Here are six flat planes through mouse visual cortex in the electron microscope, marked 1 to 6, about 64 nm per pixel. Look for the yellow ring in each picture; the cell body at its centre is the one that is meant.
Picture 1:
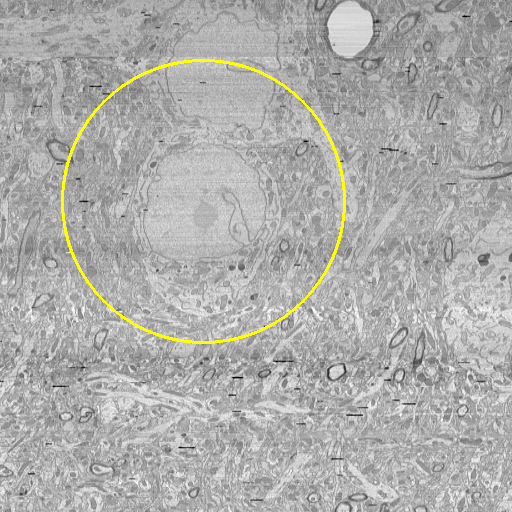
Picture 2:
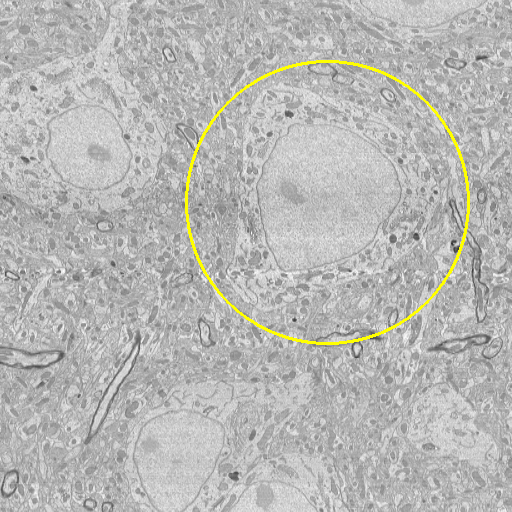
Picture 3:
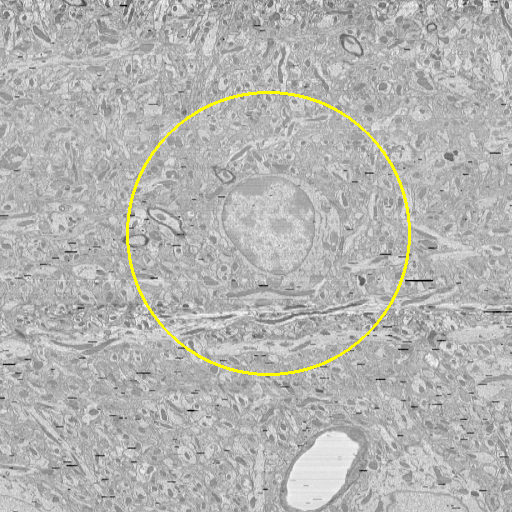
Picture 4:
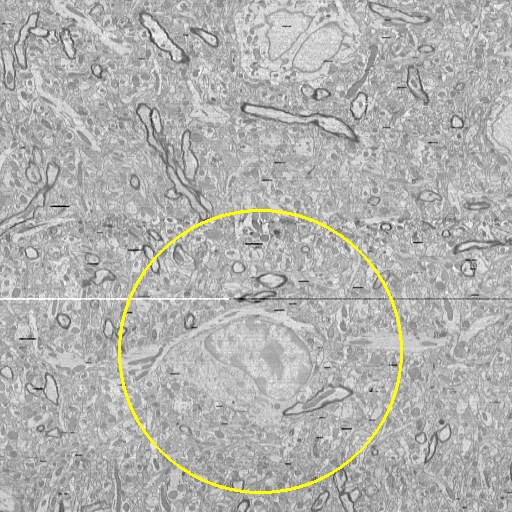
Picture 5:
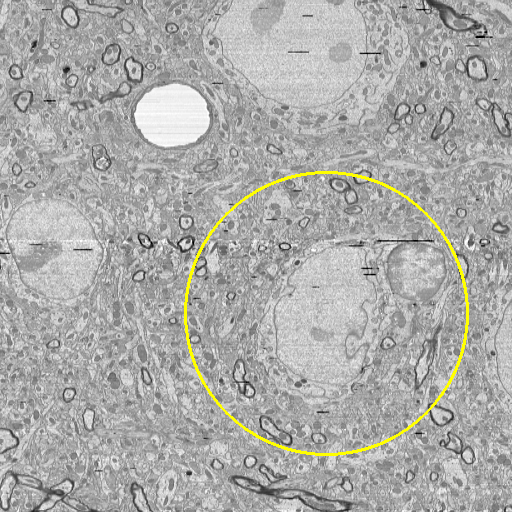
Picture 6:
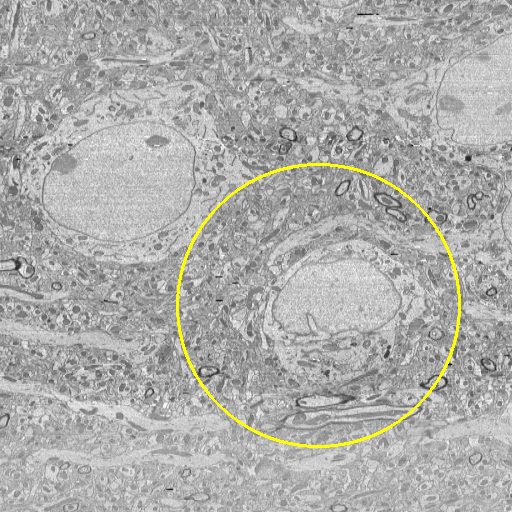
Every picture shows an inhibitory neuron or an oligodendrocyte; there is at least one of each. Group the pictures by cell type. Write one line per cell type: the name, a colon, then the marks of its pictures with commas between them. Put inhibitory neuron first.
inhibitory neuron: 1, 2, 5, 6
oligodendrocyte: 3, 4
